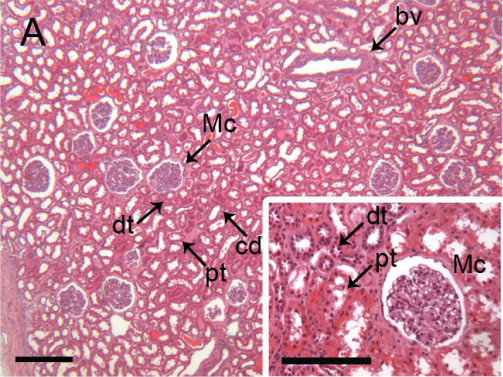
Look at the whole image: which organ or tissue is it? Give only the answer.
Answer: Renal cortex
